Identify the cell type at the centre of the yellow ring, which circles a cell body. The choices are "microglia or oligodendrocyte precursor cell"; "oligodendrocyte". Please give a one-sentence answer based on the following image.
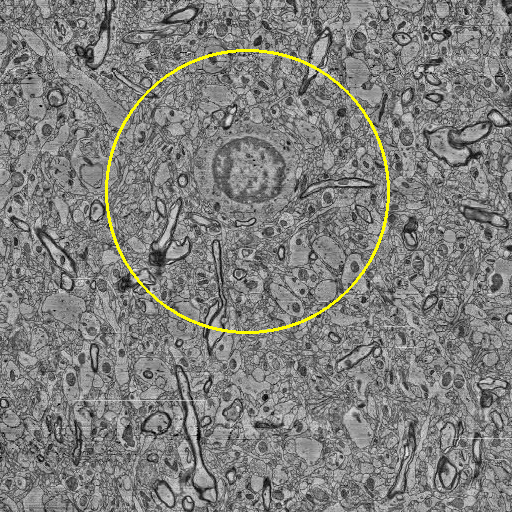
The cell marked by the ring is an oligodendrocyte.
